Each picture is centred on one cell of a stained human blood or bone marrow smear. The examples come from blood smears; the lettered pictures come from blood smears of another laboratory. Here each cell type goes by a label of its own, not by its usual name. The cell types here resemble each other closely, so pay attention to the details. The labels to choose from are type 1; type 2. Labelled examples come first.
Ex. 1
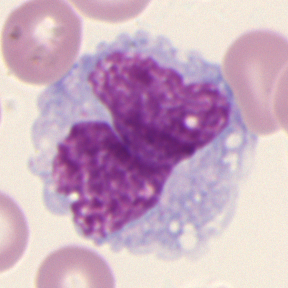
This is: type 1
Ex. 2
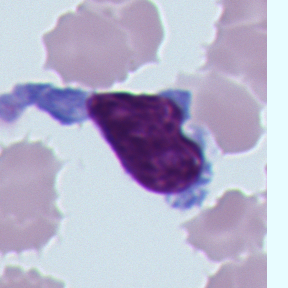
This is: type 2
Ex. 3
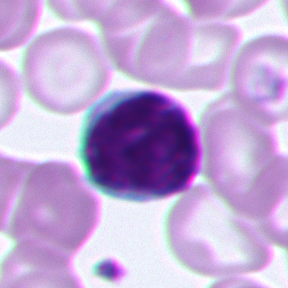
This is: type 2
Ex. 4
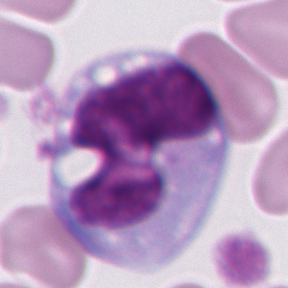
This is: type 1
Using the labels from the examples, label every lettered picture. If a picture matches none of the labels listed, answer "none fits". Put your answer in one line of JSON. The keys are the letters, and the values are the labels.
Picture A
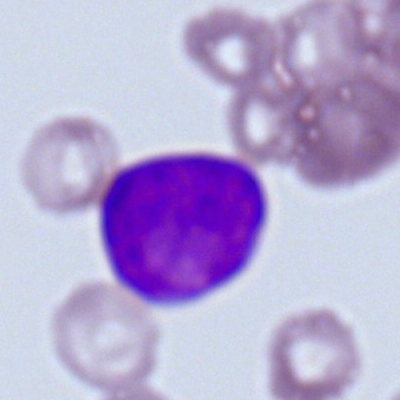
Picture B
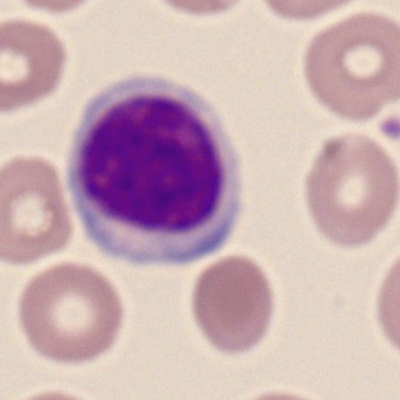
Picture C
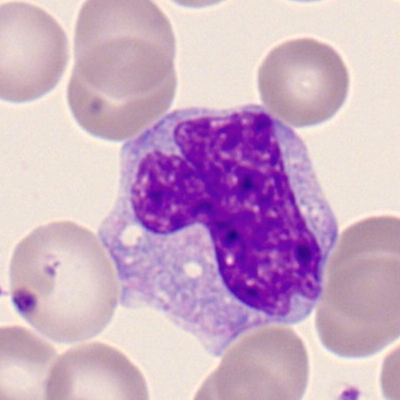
{"A": "none fits", "B": "type 2", "C": "type 1"}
